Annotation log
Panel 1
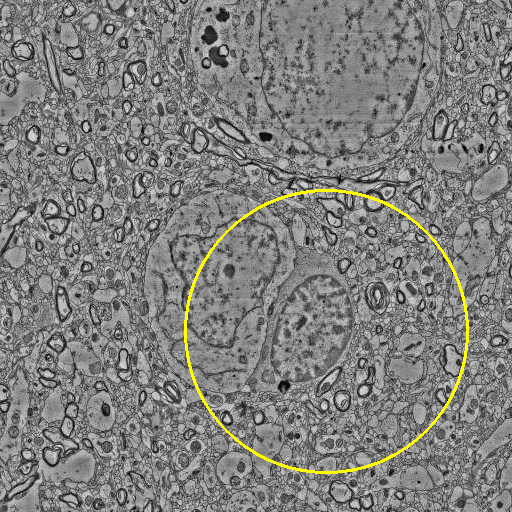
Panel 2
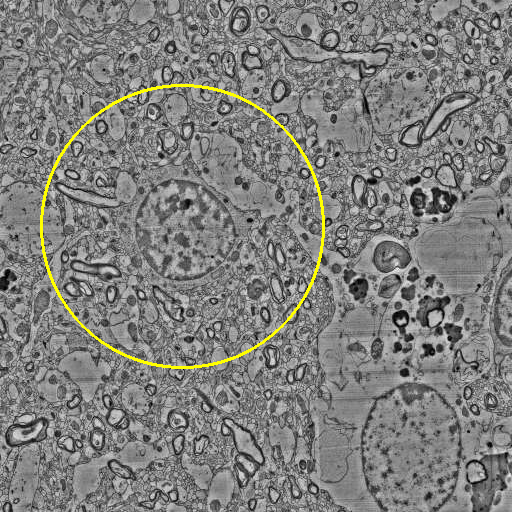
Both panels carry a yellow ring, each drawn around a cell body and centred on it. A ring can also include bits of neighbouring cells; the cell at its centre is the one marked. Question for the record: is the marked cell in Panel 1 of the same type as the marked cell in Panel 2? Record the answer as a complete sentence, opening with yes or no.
Yes, the marked cells in Panel 1 and Panel 2 are of the same type.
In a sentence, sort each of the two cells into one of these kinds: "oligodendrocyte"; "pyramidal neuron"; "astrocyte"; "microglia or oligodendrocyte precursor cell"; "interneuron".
Both rings mark an oligodendrocyte, one in each picture.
